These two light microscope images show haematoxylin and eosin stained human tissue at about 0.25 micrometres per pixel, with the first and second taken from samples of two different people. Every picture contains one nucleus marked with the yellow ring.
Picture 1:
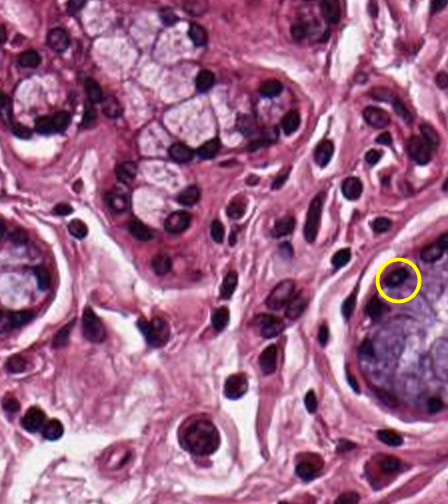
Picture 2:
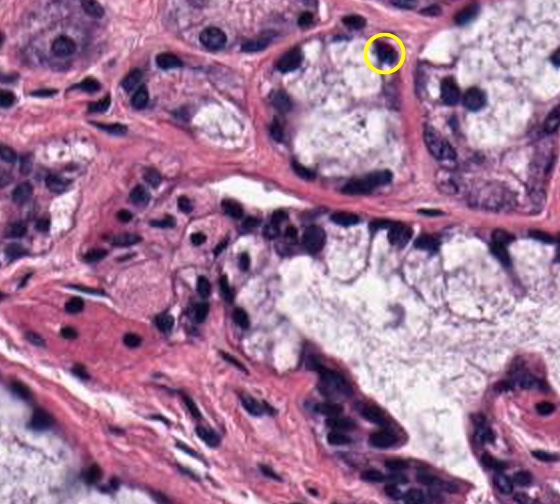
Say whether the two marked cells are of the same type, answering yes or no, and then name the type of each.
Yes, both are mucous gland cells.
